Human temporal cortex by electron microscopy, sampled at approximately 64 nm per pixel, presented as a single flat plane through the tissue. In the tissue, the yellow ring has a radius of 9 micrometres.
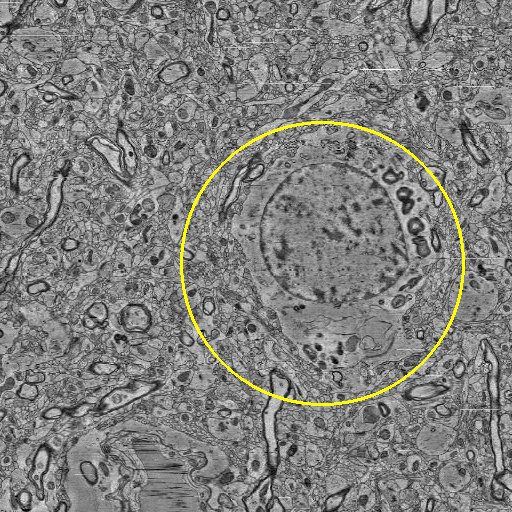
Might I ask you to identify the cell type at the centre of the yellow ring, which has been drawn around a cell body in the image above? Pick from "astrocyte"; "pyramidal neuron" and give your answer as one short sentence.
The centre of the ring falls on an astrocyte.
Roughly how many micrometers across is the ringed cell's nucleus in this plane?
About 9 micrometres across in this plane, for the nucleus.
